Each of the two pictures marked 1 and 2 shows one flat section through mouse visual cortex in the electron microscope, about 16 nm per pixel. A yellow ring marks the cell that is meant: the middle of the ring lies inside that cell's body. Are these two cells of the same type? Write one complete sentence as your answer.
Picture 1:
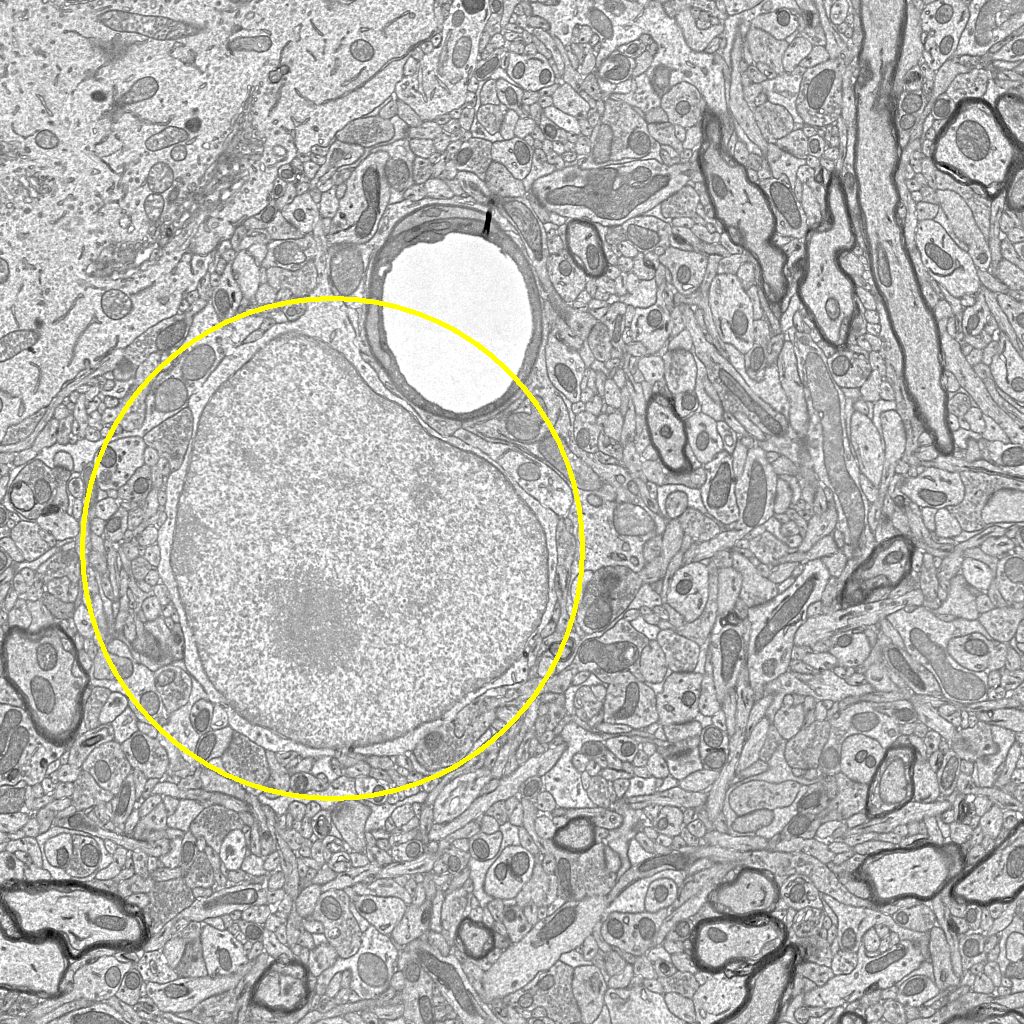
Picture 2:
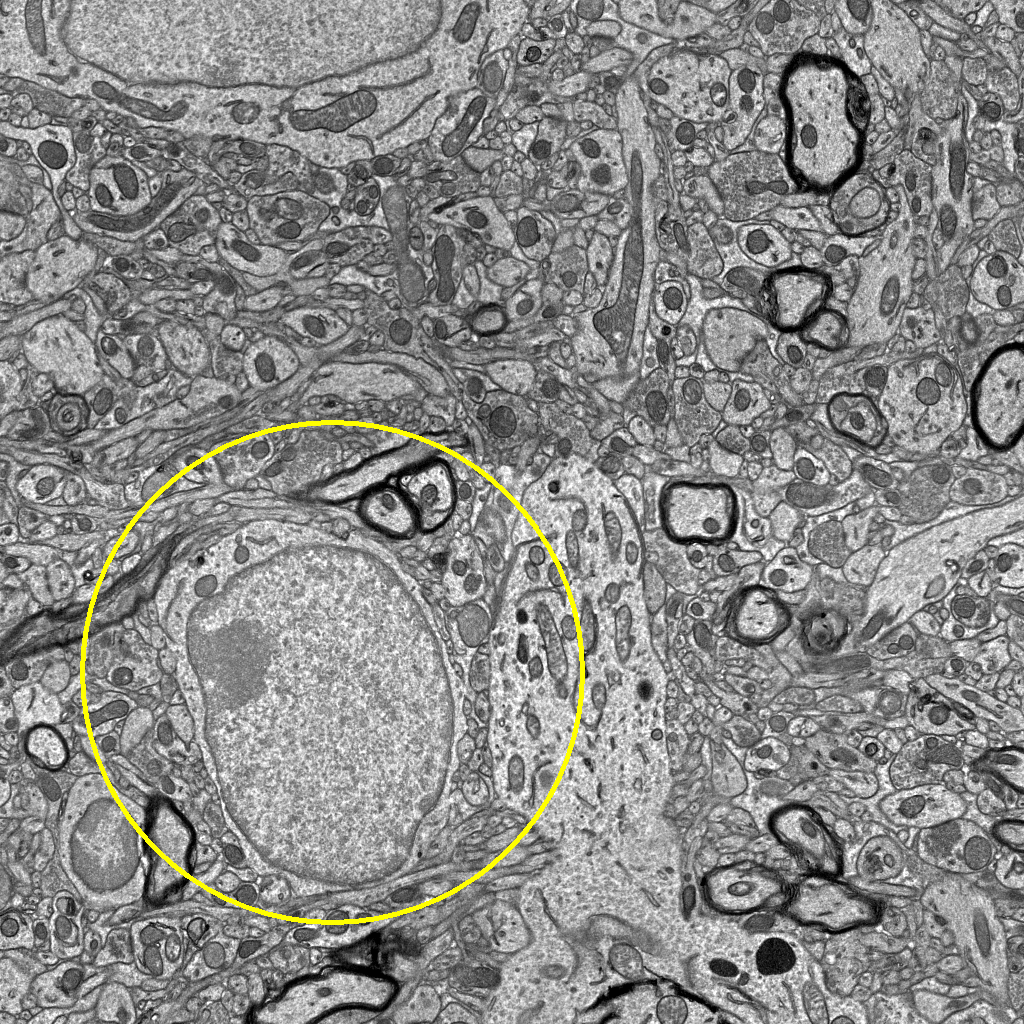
Yes, they are the same type: both are oligodendrocyte precursor cells.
